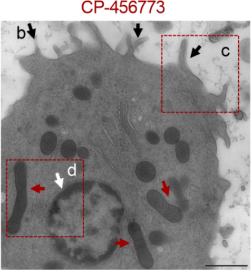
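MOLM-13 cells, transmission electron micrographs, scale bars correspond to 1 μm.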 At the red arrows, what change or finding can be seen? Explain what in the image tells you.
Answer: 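Mitochondrial elongation and hyperfusion. The red arrows point to dark, electron-dense organelles. Several of these organelles are long and rod-shaped rather than round.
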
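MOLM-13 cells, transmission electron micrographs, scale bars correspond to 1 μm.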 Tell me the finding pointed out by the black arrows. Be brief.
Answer: Irregularity of the plasma membrane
